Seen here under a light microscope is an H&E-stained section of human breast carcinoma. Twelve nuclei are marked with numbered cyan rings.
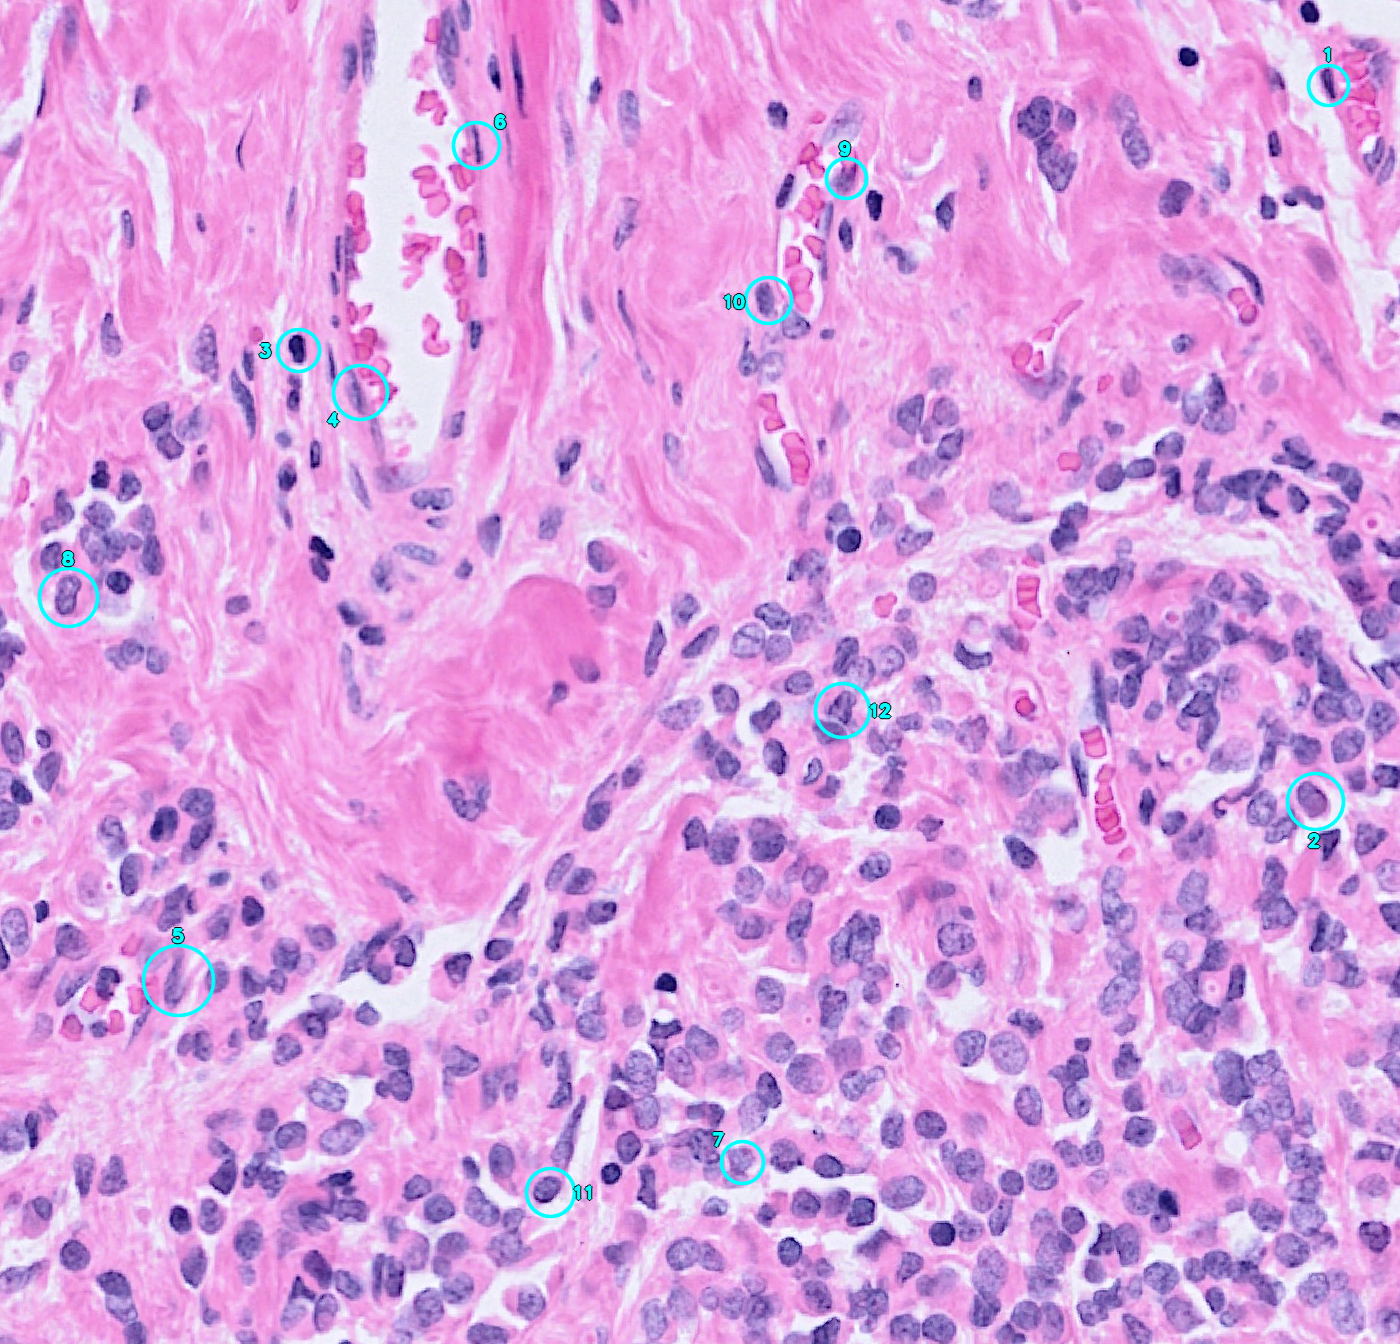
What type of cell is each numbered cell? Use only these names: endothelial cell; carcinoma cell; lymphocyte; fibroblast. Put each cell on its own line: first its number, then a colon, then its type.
1: endothelial cell
2: carcinoma cell
3: lymphocyte
4: endothelial cell
5: endothelial cell
6: endothelial cell
7: carcinoma cell
8: carcinoma cell
9: endothelial cell
10: endothelial cell
11: carcinoma cell
12: carcinoma cell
